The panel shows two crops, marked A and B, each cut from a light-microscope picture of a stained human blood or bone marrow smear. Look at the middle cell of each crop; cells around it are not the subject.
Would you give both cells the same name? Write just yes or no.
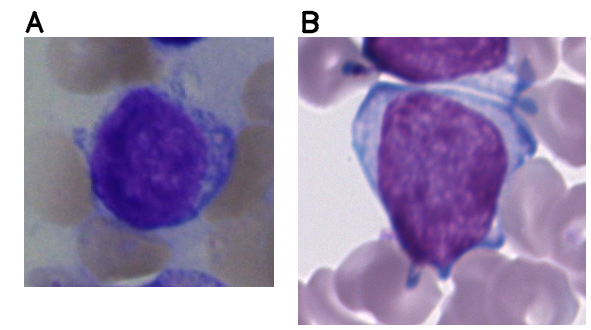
yes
